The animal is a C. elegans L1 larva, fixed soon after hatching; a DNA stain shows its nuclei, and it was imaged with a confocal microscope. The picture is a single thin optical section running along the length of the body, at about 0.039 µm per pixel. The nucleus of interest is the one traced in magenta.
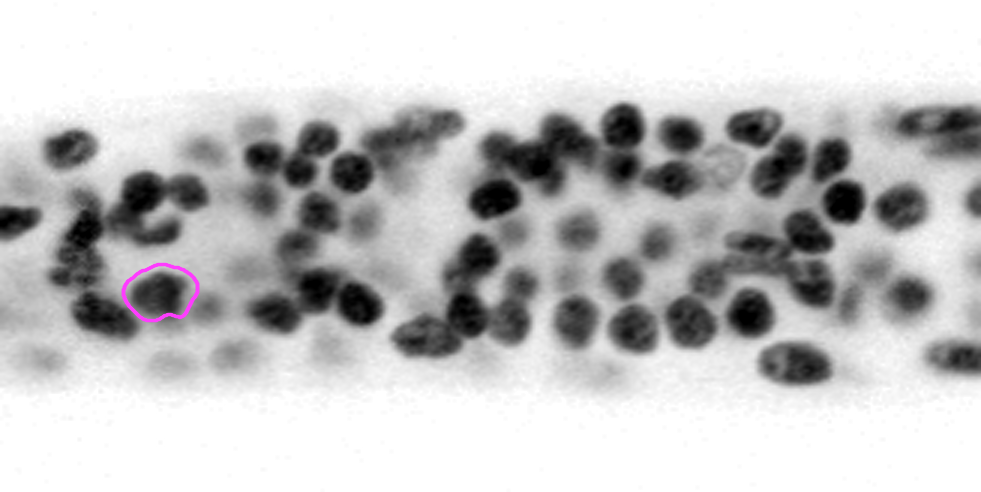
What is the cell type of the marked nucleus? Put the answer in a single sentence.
The cell with the marked nucleus is a pharyngeal muscle cell.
